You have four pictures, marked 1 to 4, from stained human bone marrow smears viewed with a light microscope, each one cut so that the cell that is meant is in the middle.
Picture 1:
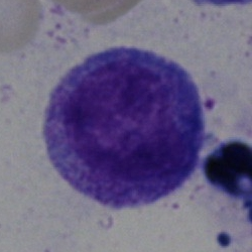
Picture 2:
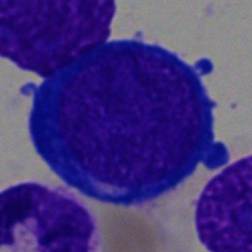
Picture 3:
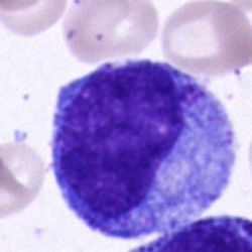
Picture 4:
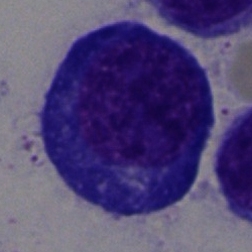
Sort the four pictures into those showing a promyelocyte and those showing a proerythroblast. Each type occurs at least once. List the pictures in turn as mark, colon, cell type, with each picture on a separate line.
1: promyelocyte
2: proerythroblast
3: promyelocyte
4: proerythroblast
